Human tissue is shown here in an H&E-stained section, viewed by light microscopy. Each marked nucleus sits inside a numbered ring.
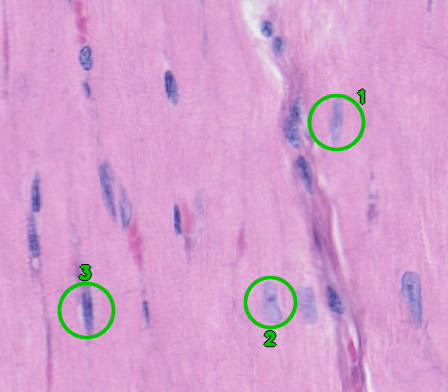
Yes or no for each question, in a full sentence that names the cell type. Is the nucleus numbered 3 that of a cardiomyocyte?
No, the cell labelled number 3 is not a cardiomyocyte; it is an endothelial cell.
